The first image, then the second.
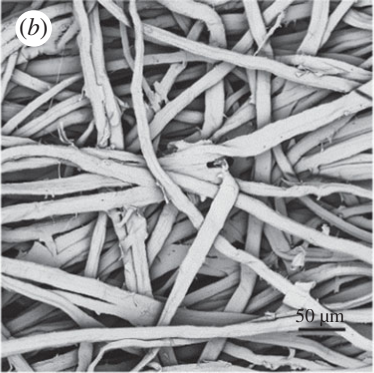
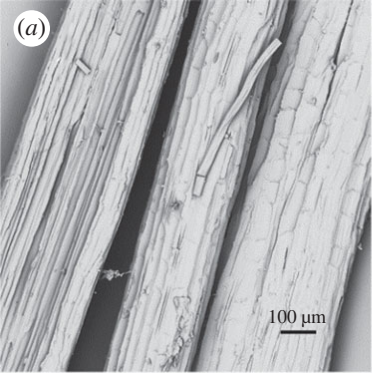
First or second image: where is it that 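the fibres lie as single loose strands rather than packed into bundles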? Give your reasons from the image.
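The first image. First image: single narrow ribbon-like fibres criss-cross loosely in a tangled mat. Second image: broad strands made of many fine elongated elements packed side by side in parallel.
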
